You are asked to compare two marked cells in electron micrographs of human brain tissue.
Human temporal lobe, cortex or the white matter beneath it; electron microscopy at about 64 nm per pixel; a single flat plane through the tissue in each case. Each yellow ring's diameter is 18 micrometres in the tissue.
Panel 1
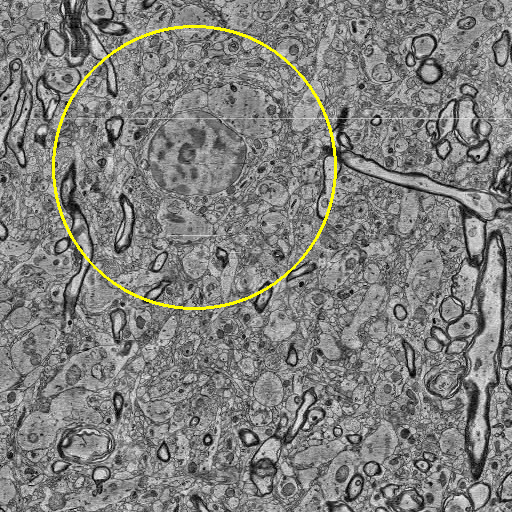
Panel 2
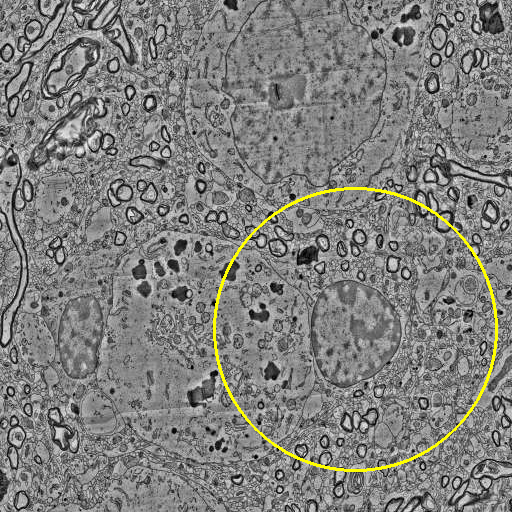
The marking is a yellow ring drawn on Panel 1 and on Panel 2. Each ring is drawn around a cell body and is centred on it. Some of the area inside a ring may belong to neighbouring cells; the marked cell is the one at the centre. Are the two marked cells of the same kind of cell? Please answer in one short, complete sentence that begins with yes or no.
Yes, the two marked cells are of the same kind.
